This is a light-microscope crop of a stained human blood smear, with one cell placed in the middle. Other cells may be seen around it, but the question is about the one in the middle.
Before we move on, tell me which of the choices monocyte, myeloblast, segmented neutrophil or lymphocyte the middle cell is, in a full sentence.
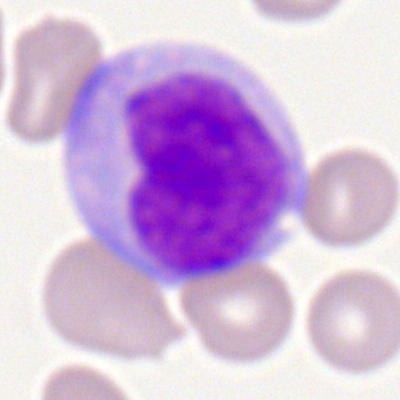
The cell in the exact centre of the crop is a monocyte.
